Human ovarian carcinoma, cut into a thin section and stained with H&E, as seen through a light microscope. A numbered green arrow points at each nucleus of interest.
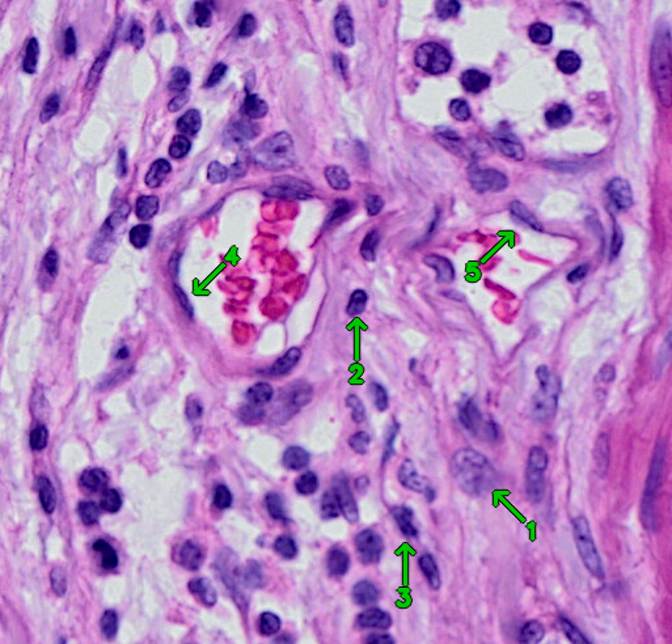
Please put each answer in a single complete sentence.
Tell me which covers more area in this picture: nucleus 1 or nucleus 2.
It is nucleus 1, which covers about 4 times the area of nucleus 2.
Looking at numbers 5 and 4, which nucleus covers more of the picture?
Number 5 is larger; its area is about 1.5 times that of number 4.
